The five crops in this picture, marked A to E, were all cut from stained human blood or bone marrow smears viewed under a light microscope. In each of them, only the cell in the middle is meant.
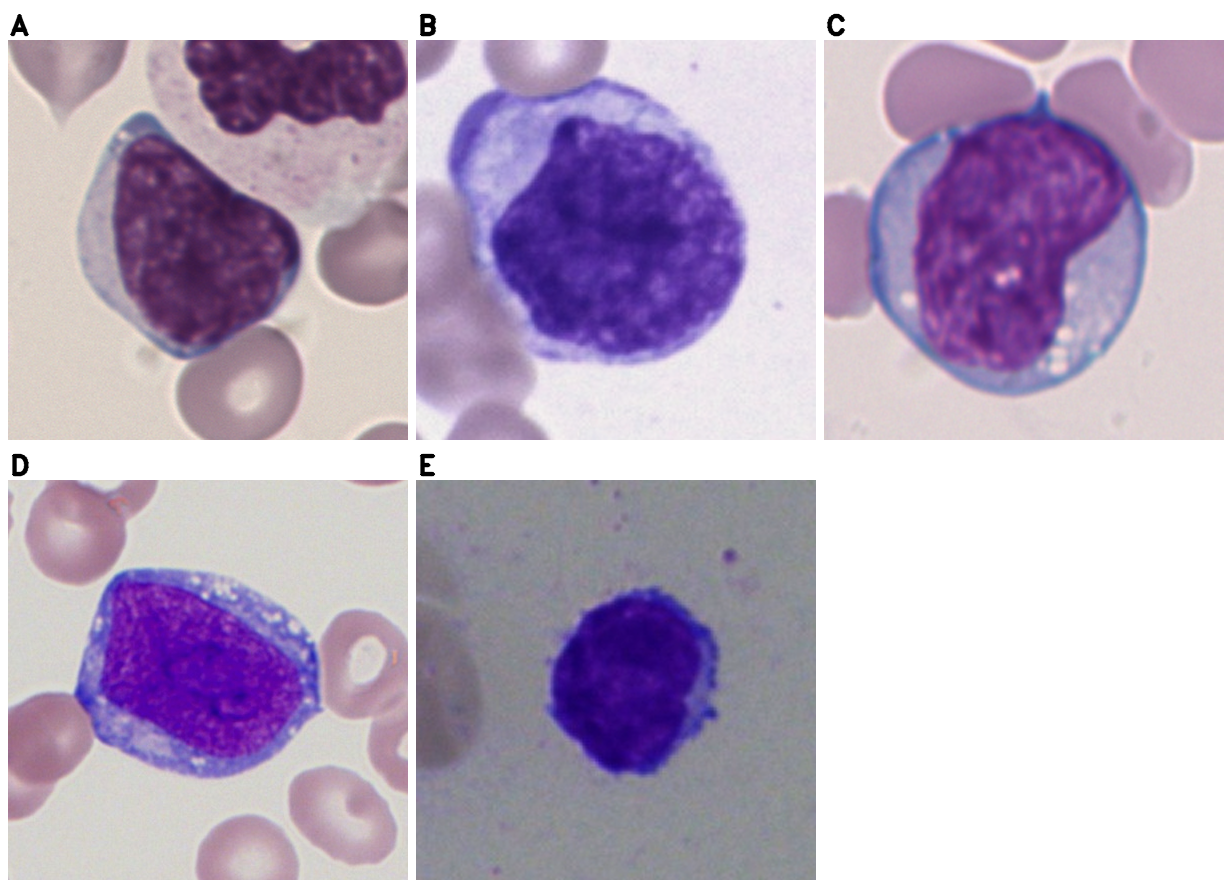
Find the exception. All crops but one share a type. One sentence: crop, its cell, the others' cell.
The single exception among the crops is crop E, which is a lymphocyte; the rest show blasts.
